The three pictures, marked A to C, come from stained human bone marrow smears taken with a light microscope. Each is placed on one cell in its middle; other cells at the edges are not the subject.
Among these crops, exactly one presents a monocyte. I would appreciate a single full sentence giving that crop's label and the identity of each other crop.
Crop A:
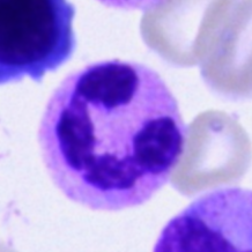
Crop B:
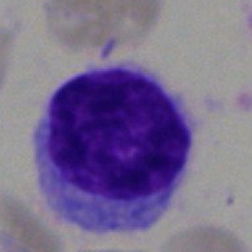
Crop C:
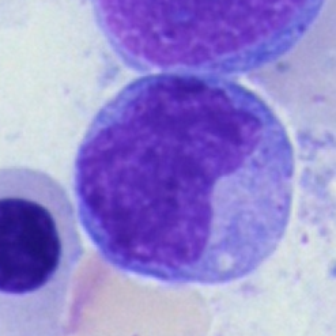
The centred cell in crop C is a monocyte; meanwhile, crop A is a segmented neutrophil and crop B is a hairy cell.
